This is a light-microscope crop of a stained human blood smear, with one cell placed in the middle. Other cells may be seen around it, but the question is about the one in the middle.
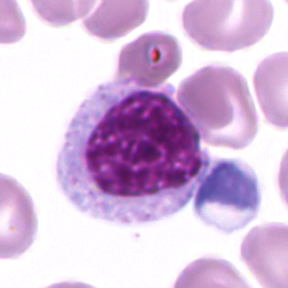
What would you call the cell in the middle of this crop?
metamyelocyte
